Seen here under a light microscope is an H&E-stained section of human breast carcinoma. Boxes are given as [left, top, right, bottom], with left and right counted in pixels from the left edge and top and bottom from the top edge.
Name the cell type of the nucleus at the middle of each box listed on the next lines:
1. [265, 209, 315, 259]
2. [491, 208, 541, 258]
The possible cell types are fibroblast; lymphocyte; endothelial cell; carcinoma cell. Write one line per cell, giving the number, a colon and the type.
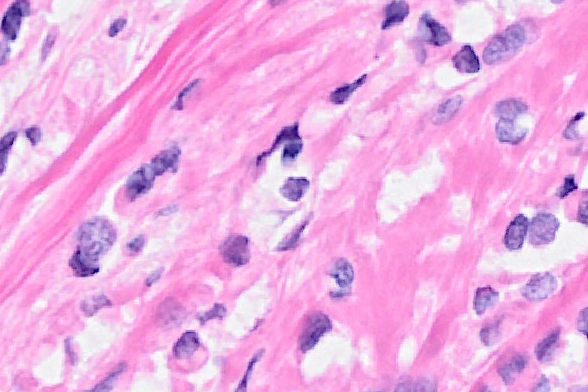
1: fibroblast
2: carcinoma cell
